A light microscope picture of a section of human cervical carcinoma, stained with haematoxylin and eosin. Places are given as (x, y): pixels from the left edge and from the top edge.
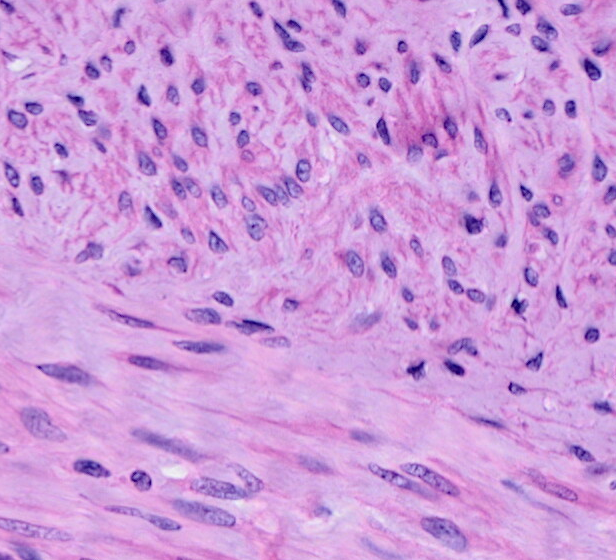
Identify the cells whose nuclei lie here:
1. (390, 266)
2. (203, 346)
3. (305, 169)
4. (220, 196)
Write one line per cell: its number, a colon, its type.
1: smooth muscle cell
2: fibroblast
3: smooth muscle cell
4: smooth muscle cell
